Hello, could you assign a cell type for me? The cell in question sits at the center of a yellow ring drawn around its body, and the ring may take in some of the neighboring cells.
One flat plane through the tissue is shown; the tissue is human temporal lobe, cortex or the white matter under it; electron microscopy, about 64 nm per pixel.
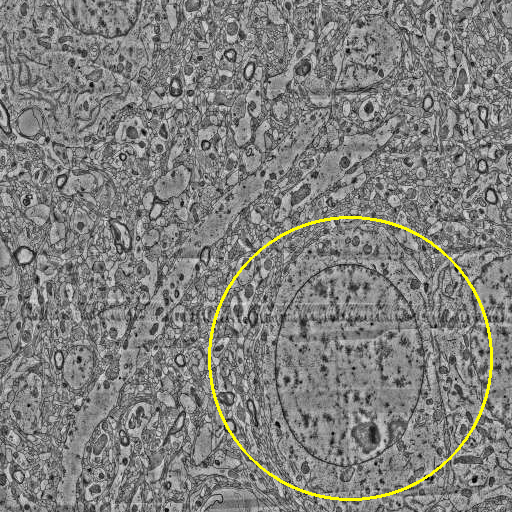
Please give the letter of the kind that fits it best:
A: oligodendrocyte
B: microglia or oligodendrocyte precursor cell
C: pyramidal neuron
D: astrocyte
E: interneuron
C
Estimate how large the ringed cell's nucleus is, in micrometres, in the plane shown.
The nucleus measures about 13 by 10 micrometres in this plane.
